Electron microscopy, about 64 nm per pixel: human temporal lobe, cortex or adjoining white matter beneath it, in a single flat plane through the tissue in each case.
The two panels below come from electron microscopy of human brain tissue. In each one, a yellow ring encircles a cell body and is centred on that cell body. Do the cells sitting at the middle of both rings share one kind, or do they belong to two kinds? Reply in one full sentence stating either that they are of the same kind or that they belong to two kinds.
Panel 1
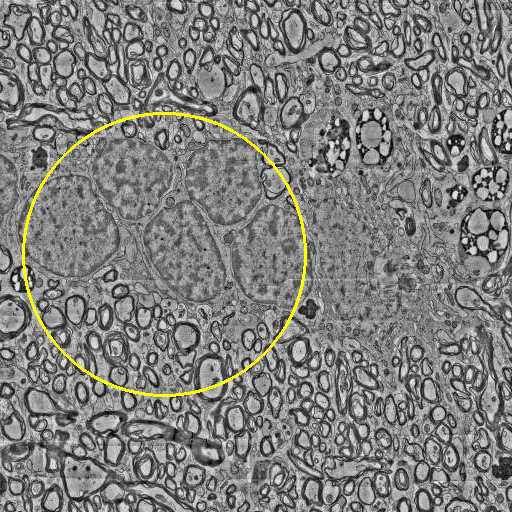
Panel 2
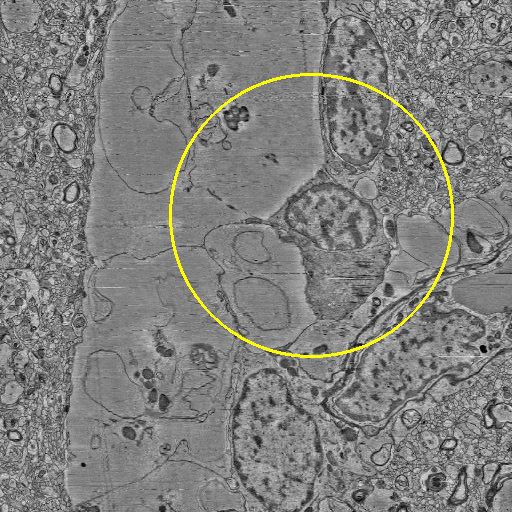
The cells at the centres of the two rings are of the same kind.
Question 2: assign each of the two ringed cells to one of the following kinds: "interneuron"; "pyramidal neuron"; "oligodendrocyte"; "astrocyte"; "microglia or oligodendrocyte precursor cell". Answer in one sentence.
In each picture the ringed cell is an oligodendrocyte.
